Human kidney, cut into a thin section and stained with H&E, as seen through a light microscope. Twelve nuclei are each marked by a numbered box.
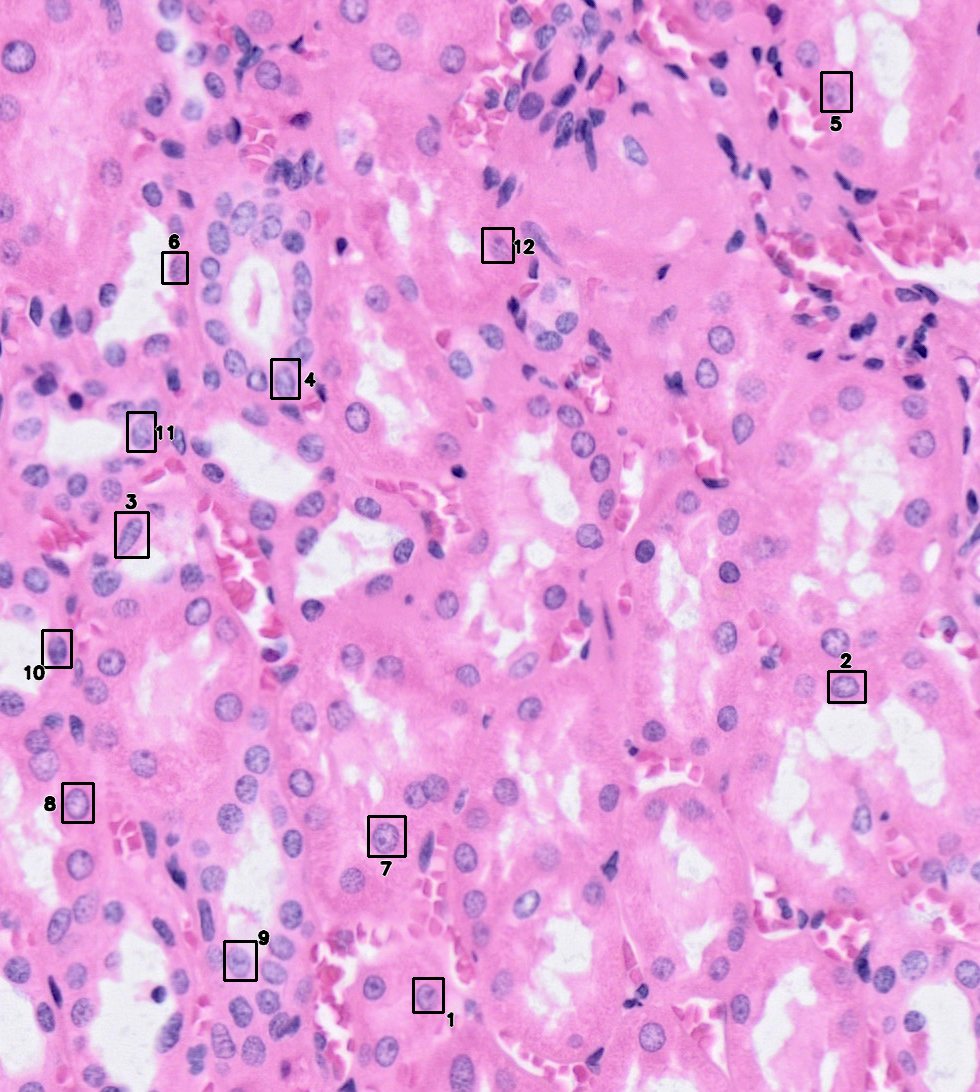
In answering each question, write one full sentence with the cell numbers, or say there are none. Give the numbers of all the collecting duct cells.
The cells which carry the numbers 3, 4, 9 and 11 are collecting duct cells.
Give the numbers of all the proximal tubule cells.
By cell type, the cells numbered 1, 2, 5, 7, 8 and 12 are proximal tubule cells.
